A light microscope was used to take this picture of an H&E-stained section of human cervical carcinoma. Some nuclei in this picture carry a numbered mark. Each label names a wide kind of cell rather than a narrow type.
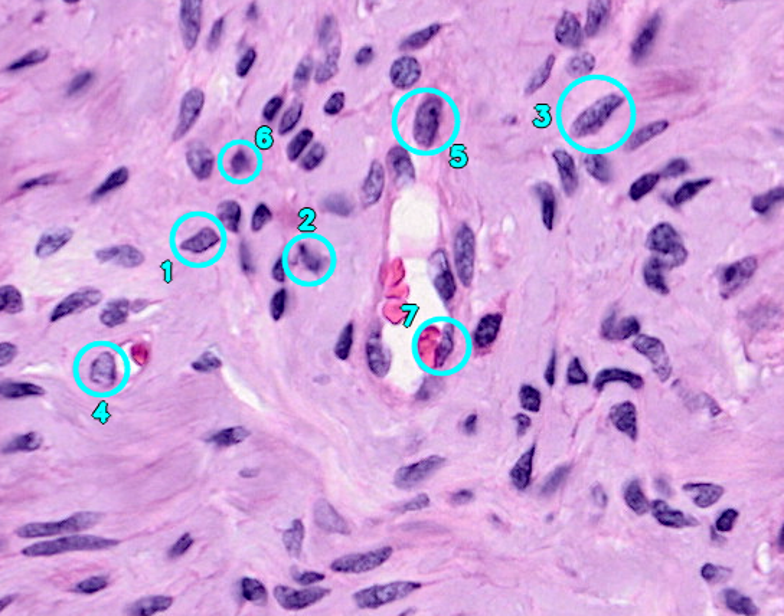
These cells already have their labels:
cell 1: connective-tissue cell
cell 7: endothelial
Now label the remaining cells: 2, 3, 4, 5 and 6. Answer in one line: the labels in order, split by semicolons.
connective-tissue cell; connective-tissue cell; endothelial; endothelial; connective-tissue cell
